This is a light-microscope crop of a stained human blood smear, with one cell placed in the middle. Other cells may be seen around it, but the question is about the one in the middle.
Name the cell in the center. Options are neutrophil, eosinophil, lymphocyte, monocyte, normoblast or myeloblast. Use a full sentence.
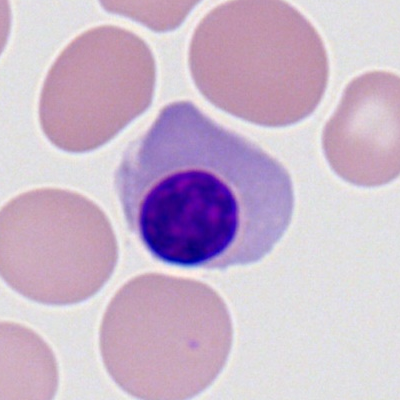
In this crop, the cell at the very middle is a normoblast.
